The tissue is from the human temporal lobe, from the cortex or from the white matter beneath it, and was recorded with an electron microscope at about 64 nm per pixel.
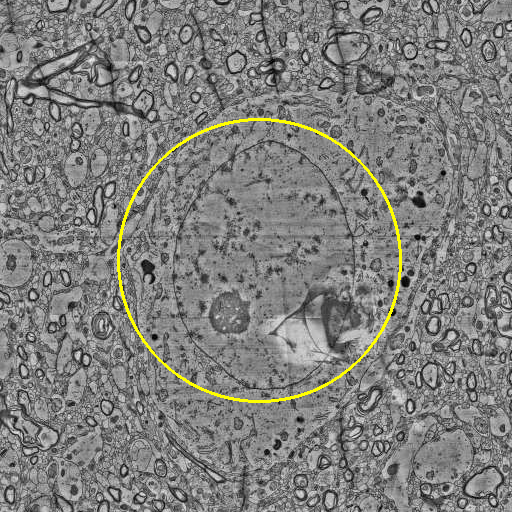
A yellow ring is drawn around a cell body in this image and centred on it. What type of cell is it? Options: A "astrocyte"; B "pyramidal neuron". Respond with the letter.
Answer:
B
